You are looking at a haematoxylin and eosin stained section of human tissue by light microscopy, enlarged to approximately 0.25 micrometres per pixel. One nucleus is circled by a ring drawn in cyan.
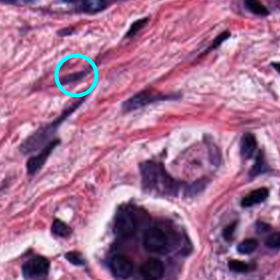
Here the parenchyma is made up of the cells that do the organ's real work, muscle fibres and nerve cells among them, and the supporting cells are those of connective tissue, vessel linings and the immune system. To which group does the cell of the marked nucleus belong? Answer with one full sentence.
The marked nucleus forms part of a supporting cell.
